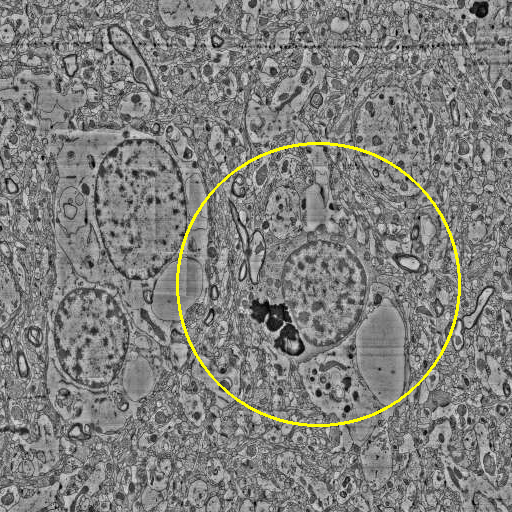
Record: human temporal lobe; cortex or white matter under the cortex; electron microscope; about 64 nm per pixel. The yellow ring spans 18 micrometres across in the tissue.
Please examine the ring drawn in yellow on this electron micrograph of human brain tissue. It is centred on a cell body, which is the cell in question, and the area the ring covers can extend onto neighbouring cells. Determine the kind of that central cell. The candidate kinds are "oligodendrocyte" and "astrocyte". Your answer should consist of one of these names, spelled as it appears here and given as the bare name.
oligodendrocyte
